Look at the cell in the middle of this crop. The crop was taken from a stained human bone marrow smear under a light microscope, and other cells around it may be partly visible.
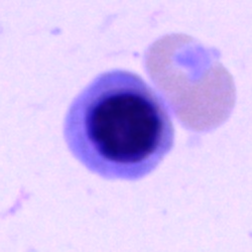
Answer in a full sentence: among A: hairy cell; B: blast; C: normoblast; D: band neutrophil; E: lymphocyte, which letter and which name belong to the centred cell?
The cell right in the middle is a normoblast, so option C is the one.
